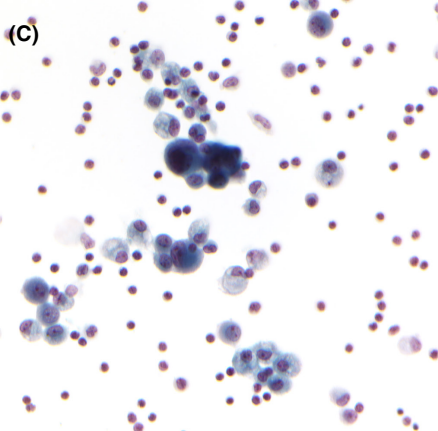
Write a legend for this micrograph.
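The atypical cells are larger, with round to oval nuclei and pale blue-grey cytoplasm, lying singly or in small loose groups. Some nuclei are very dark and smudged, with chromatin detail lost, especially in one tight group of overlapping cells. The small round cells have dense dark nuclei and scant cytoplasm and fill the background. Cell size varies clearly across the field.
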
